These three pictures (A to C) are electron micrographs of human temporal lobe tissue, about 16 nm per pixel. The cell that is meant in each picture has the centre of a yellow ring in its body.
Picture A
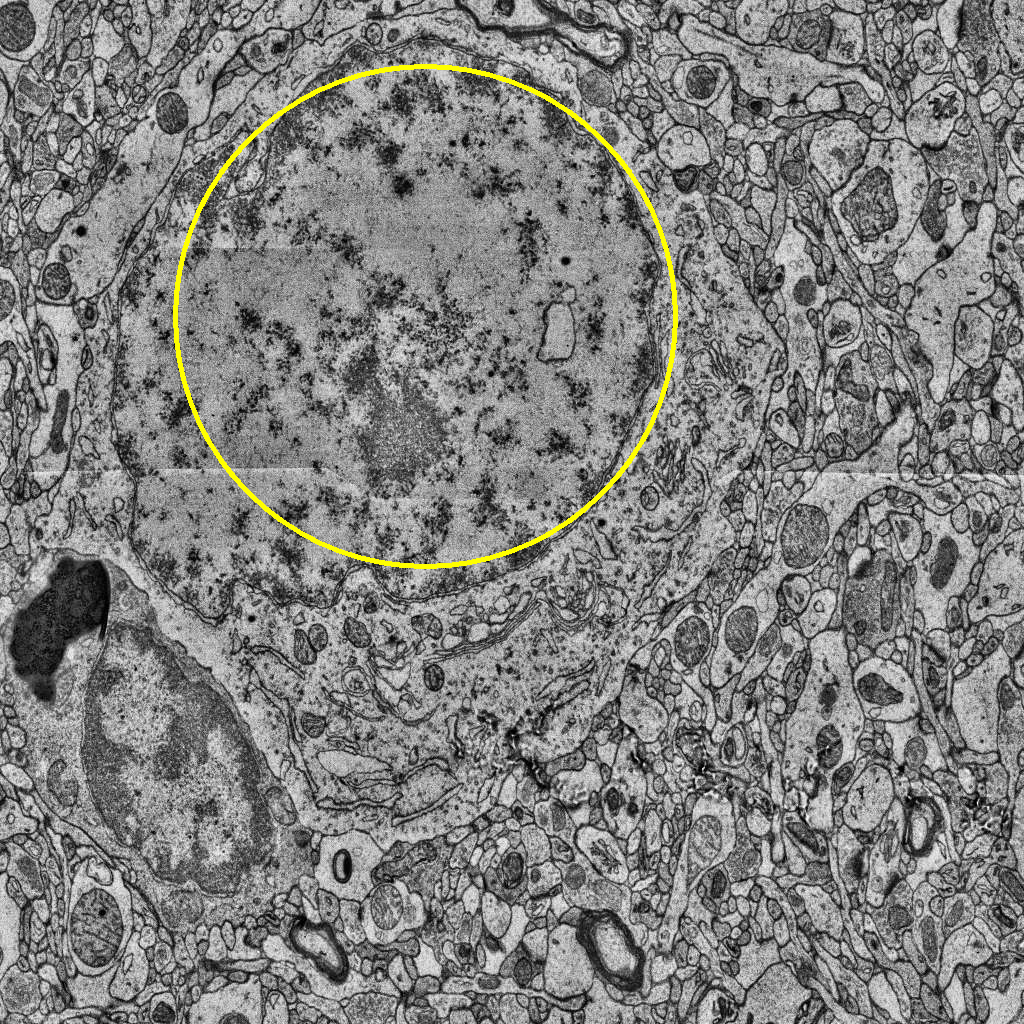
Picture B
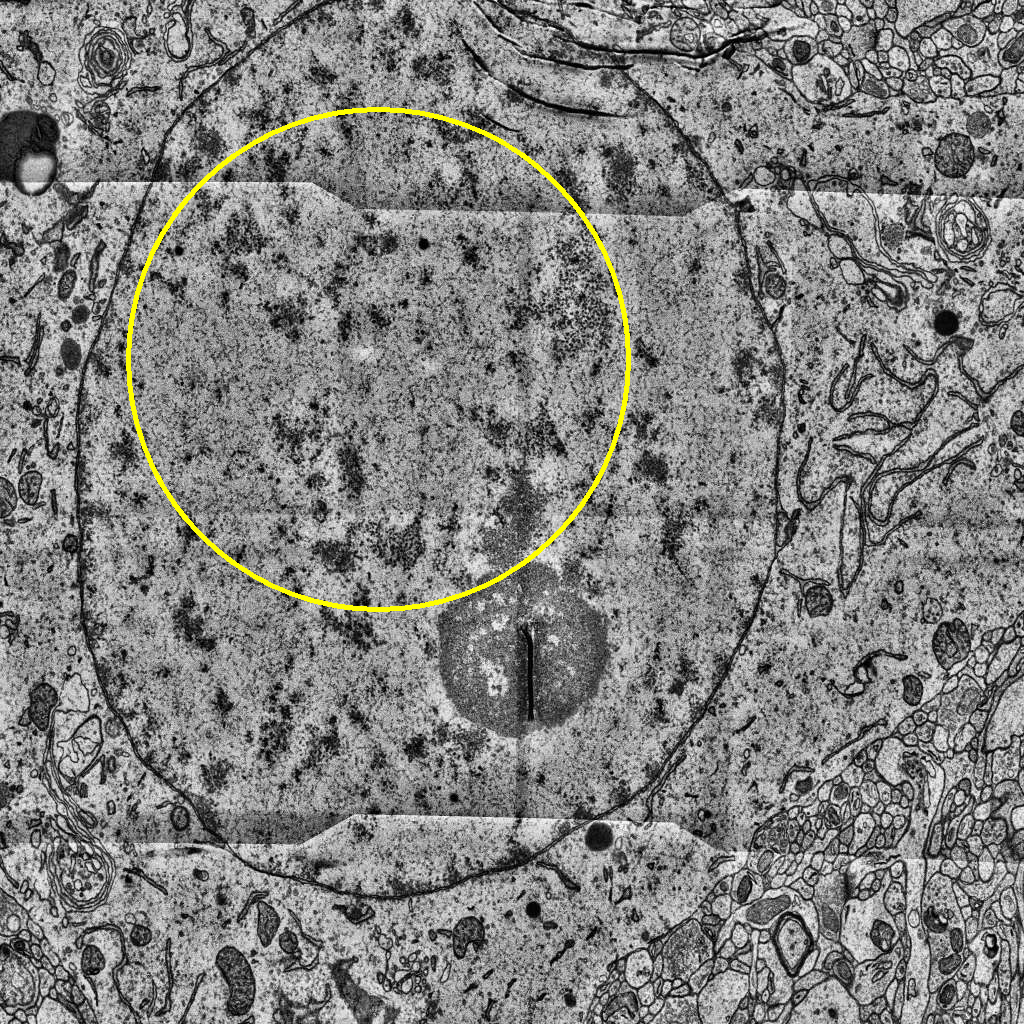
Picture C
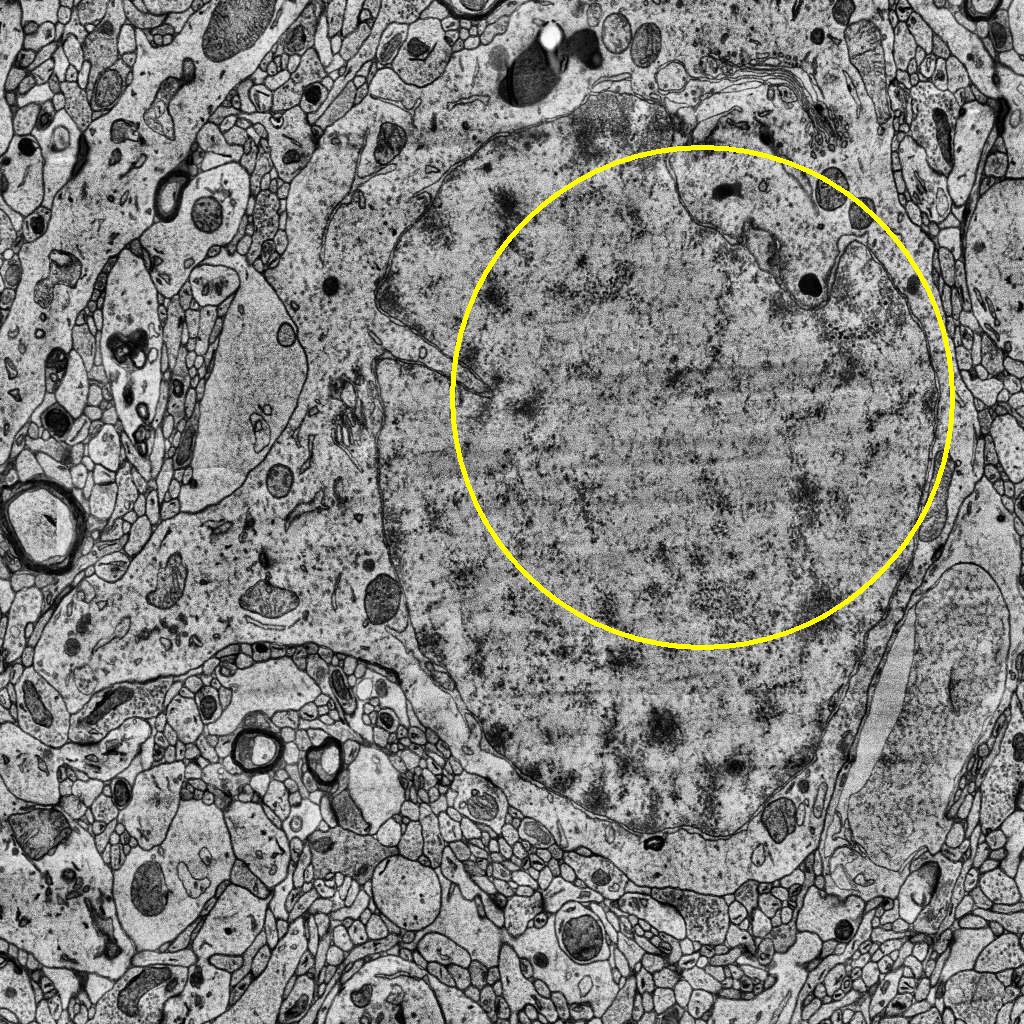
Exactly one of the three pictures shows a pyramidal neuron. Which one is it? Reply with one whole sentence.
Picture B is the one that shows the pyramidal neuron.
